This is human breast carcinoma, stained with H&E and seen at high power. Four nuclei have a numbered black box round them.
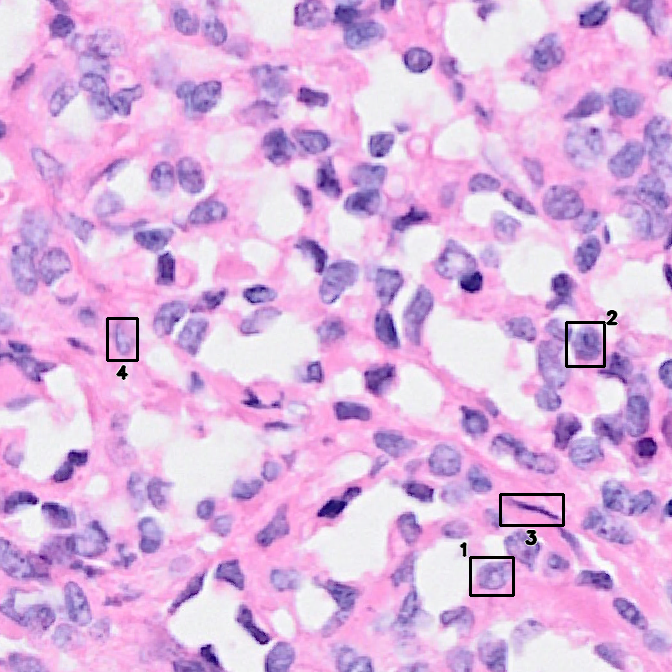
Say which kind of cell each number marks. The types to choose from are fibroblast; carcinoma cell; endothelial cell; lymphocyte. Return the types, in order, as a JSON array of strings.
["carcinoma cell", "carcinoma cell", "fibroblast", "endothelial cell"]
